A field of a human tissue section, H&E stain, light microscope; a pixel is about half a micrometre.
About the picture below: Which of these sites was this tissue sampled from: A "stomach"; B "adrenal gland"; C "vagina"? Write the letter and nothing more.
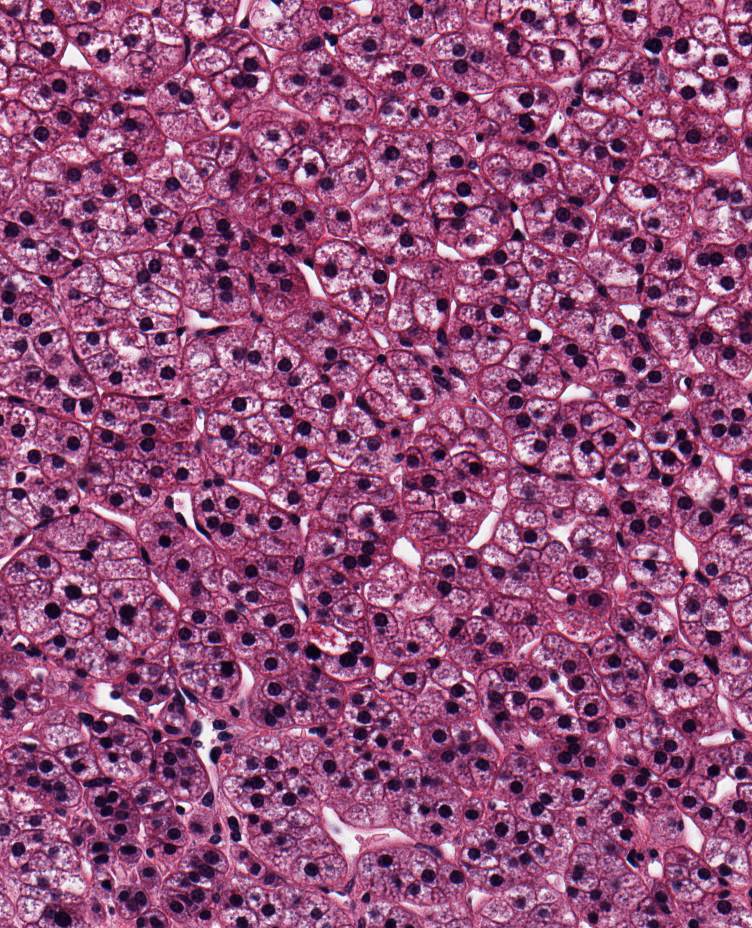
B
